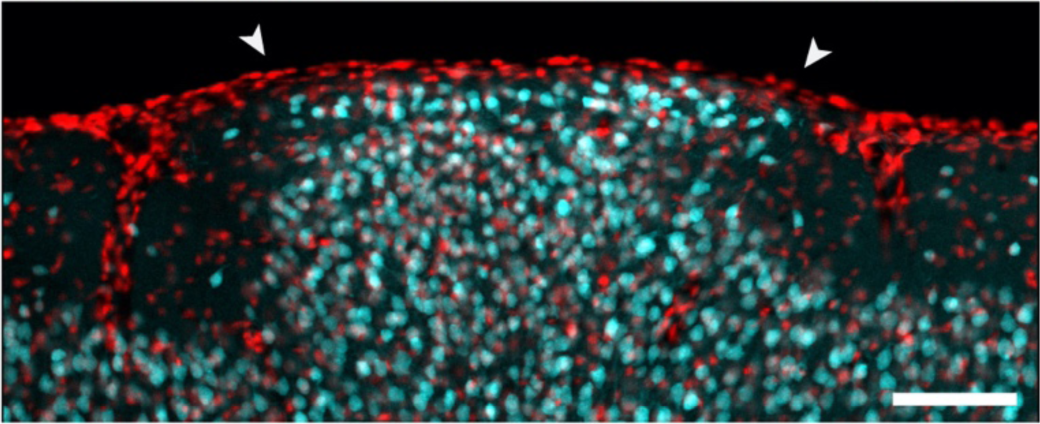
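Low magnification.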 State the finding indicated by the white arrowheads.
Heterotopia.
